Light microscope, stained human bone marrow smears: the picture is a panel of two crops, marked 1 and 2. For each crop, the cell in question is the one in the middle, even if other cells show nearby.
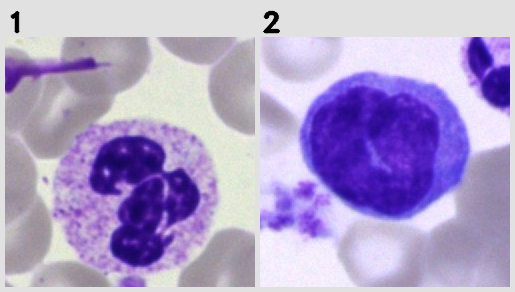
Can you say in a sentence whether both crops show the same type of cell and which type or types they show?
No, crop 1 captures a segmented neutrophil, and crop 2 captures a monocyte.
